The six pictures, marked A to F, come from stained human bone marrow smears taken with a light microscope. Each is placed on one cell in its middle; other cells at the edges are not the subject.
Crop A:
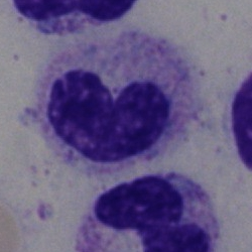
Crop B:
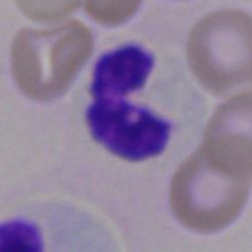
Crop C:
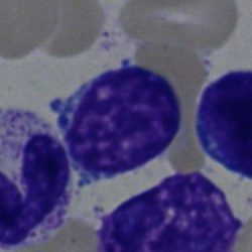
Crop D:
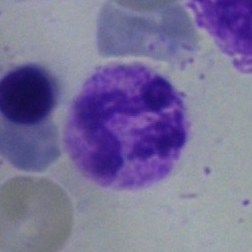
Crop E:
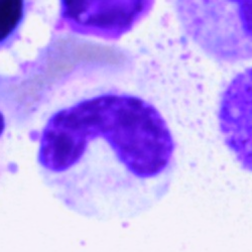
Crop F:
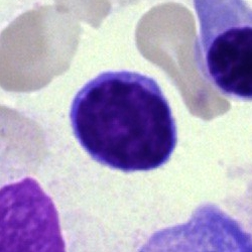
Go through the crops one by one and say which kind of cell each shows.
A: band neutrophil
B: segmented neutrophil
C: lymphocyte
D: segmented neutrophil
E: band neutrophil
F: lymphocyte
